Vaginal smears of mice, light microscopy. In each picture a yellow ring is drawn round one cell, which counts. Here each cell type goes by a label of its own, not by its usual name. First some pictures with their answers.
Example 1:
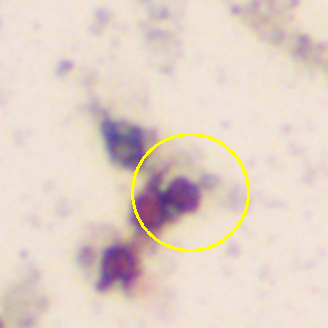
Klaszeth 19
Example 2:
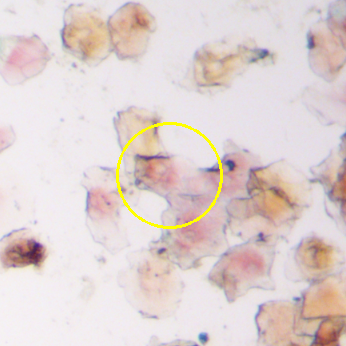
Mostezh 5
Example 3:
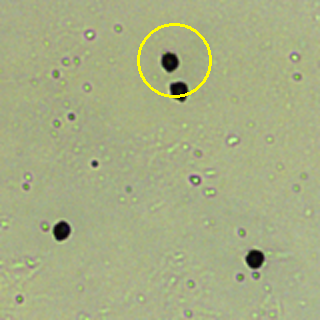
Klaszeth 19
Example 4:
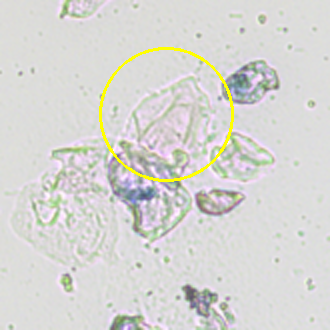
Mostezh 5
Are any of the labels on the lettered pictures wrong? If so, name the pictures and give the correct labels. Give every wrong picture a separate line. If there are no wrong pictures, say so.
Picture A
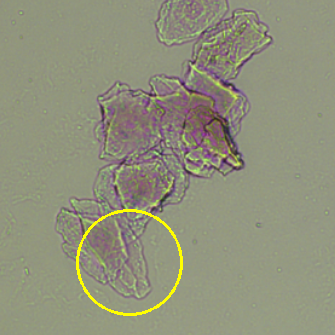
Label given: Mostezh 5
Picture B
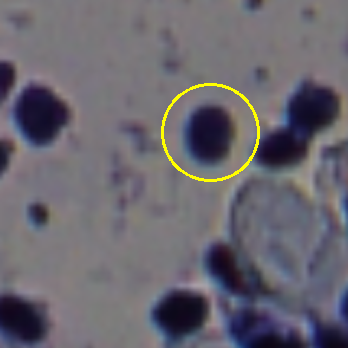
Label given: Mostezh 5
B is labelled Mostezh 5; correct label: Klaszeth 19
